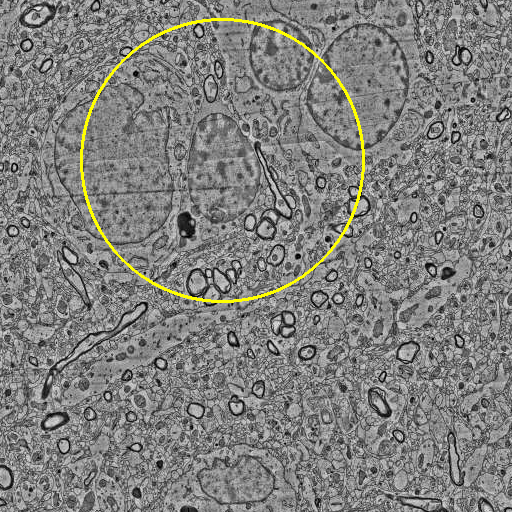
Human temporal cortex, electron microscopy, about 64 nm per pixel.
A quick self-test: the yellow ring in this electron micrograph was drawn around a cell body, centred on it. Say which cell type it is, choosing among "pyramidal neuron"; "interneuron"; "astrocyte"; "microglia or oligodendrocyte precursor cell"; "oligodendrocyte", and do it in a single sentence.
The yellow-ringed cell is an oligodendrocyte.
